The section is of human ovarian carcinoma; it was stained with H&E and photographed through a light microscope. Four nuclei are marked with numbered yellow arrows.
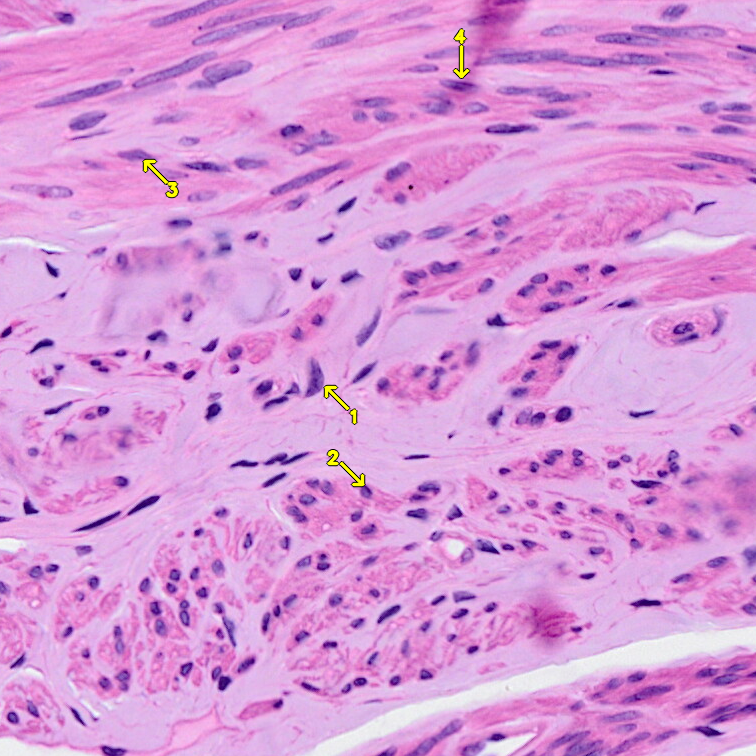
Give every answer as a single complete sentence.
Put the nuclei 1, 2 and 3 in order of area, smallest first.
From smallest to largest, the order is 2, 3, 1.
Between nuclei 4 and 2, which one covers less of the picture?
Number 2 is smaller, since number 4 takes up about 3 times as much area.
